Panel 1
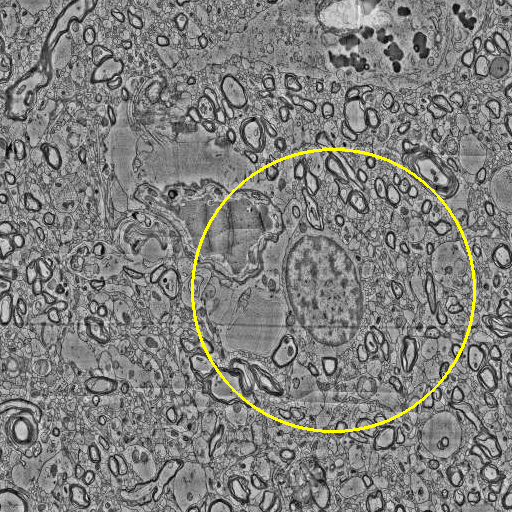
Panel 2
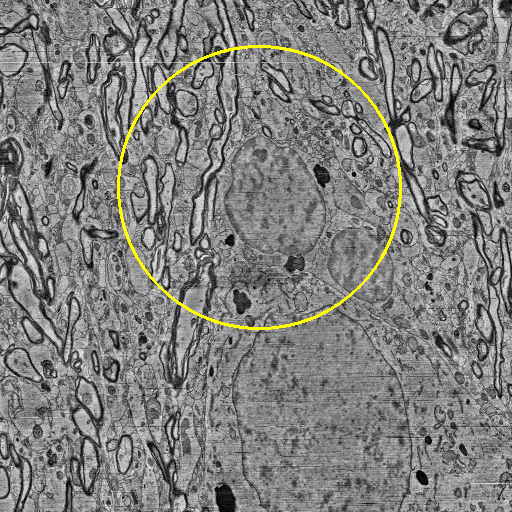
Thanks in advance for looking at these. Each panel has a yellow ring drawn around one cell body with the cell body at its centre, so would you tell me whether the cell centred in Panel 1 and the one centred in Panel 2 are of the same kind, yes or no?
yes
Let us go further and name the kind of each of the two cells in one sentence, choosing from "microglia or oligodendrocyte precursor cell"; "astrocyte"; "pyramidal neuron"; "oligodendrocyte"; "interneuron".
Each of the two cells is an oligodendrocyte.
